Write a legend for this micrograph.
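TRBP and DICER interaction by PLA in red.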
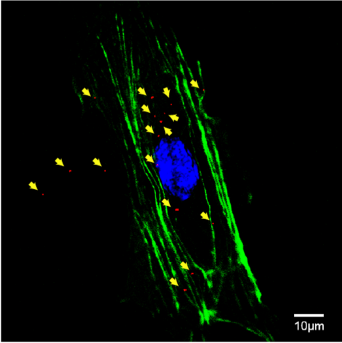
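A single elongated, spindle-shaped cultured cell lies diagonally across the field, with an oval blue nucleus in its middle. Bright green fibres run lengthwise through the cytoplasm in long parallel bundles, following the cell's long axis toward both tapering ends. Small red dots, each pointed out by a yellow arrow, cluster mostly around and above the nucleus in the cytoplasm. A few marked red dots lie off to the left, outside the bright green outline of the cell. The cell looks intact and stretched out, with no clear sign of damage.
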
